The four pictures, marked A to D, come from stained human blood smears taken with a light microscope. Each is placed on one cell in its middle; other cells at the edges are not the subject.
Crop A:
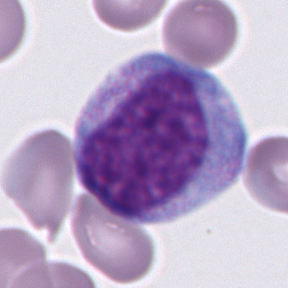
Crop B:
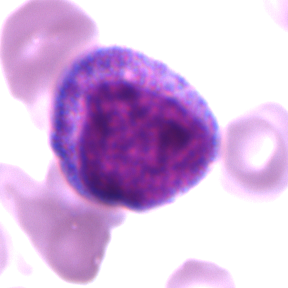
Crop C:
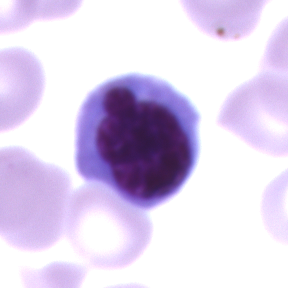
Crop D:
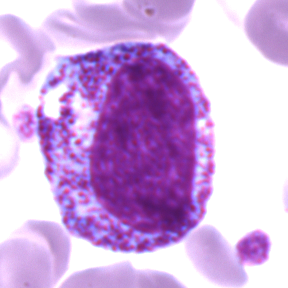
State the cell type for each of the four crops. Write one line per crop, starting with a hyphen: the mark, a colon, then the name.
- A: promyelocyte
- B: promyelocyte
- C: erythroblast
- D: promyelocyte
